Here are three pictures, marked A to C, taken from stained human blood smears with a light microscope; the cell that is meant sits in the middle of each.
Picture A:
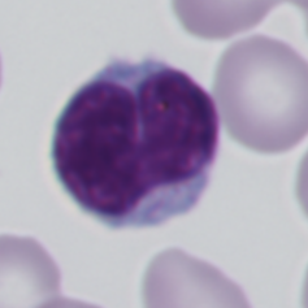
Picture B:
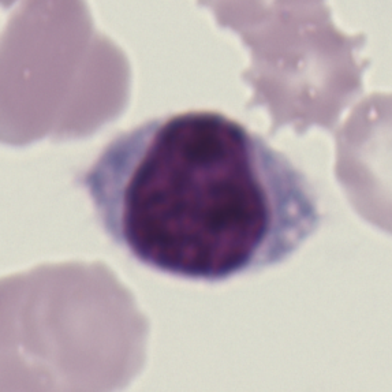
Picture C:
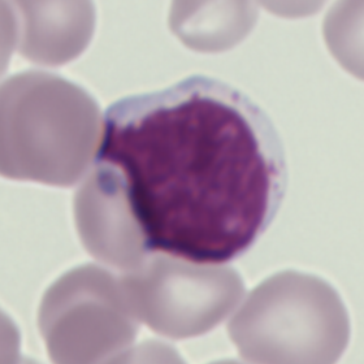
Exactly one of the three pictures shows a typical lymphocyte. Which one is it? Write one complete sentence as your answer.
It is picture A that shows the typical lymphocyte.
